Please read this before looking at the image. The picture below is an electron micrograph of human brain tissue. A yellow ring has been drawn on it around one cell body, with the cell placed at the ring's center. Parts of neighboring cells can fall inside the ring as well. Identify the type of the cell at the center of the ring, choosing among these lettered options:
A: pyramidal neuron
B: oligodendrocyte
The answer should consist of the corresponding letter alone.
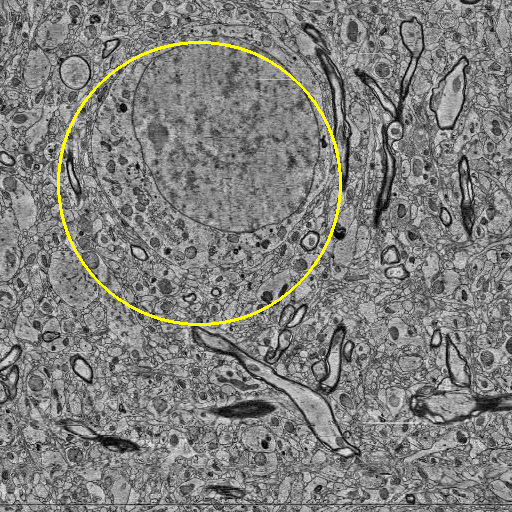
A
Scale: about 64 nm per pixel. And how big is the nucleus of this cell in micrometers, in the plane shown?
The nucleus comes to roughly 14 by 11 micrometres in this plane.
